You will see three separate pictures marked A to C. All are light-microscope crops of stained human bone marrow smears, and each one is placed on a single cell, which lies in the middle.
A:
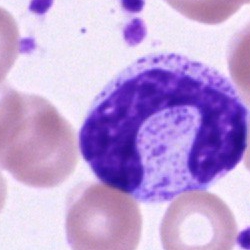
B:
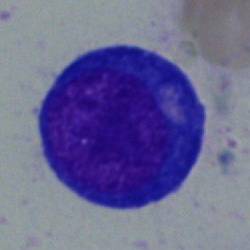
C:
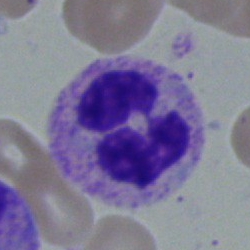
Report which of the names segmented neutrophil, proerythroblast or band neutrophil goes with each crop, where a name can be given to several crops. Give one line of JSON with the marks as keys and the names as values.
{"A": "band neutrophil", "B": "proerythroblast", "C": "segmented neutrophil"}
